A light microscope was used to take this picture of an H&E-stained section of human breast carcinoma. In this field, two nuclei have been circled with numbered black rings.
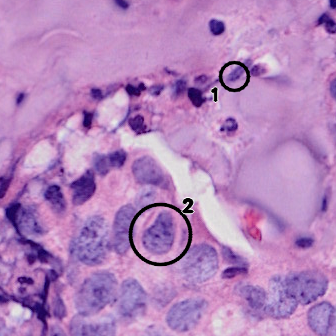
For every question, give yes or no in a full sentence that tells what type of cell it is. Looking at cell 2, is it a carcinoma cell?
Yes, the numbered nucleus 2 is that of a carcinoma cell.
